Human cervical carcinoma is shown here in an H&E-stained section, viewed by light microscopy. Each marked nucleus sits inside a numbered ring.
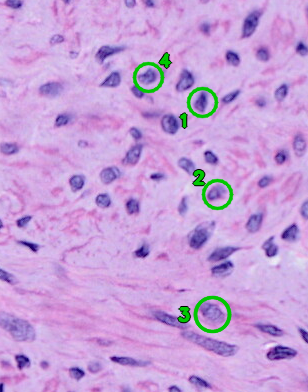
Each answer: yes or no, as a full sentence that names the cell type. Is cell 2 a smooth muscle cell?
Yes, the cell distinguished by number 2 is a smooth muscle cell.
